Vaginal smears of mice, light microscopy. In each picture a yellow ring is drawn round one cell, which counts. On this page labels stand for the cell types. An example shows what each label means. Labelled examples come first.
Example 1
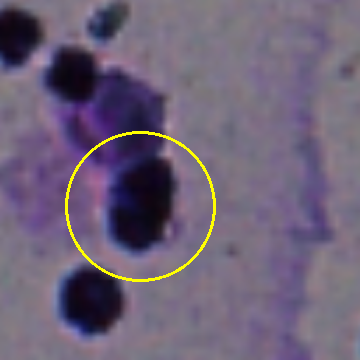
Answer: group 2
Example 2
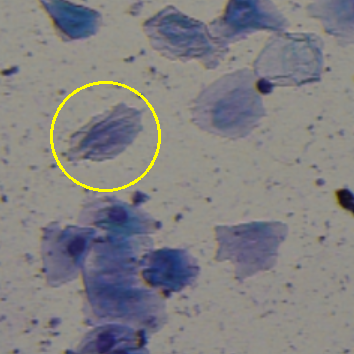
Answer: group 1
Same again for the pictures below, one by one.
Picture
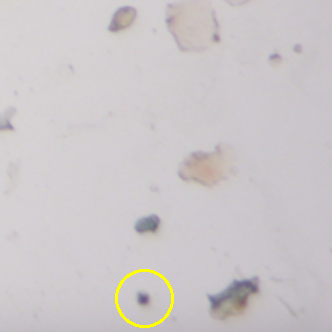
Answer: group 2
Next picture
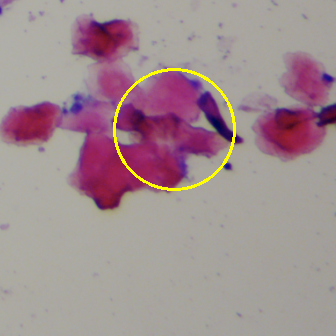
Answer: group 1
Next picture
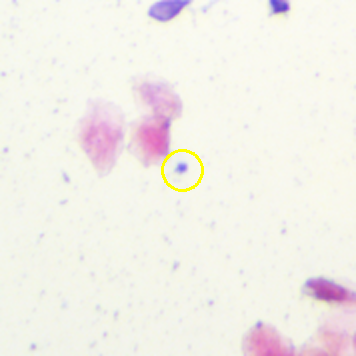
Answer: group 2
